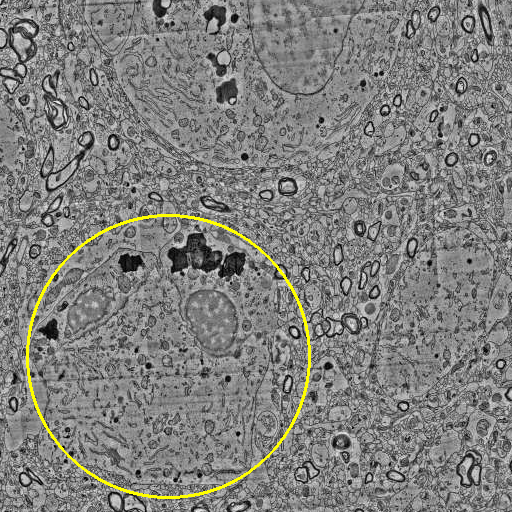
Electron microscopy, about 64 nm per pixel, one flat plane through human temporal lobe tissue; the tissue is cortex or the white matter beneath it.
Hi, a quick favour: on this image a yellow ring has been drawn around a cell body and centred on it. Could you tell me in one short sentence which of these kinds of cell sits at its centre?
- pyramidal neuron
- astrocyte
The ring is centred on a pyramidal neuron.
